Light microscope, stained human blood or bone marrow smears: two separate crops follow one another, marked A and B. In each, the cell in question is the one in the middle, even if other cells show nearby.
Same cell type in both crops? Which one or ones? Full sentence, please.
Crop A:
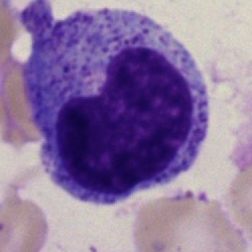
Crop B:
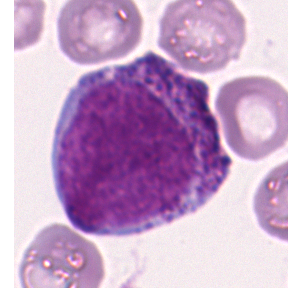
Yes, both crops show promyelocytes, with no exception.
